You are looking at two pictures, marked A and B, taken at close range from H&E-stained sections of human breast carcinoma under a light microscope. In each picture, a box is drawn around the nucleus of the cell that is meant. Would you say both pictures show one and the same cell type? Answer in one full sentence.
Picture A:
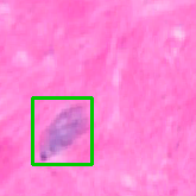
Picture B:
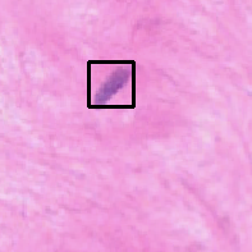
Yes; the cells in both pictures are fibroblasts.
